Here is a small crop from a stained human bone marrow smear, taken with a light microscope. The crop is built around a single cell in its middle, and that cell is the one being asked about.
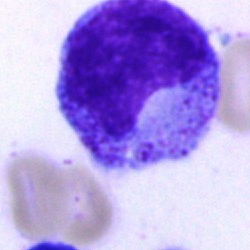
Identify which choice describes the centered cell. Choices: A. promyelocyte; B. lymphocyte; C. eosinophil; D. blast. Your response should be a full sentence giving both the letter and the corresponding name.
Option A is the right choice, the central cell being a promyelocyte.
